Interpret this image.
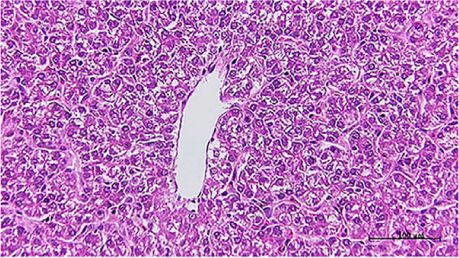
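This section of liver shows hepatocytes arranged in cords around a large, elongated, empty vessel at the centre. The hepatocytes are polygonal, with pink cytoplasm and round, centrally placed purple nuclei. Narrow pale sinusoidal spaces separate the cords. No dense clusters of small dark cells are seen.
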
